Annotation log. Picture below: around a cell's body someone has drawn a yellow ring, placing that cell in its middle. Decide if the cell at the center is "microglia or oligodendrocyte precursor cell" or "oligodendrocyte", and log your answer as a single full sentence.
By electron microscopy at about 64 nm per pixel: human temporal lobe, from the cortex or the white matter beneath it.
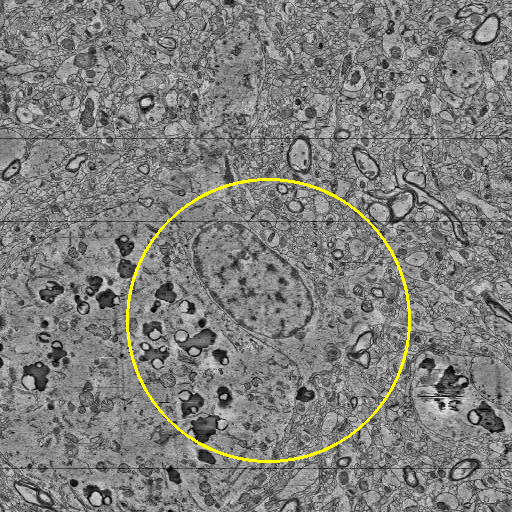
My entry records a microglial cell or oligodendrocyte precursor cell as the cell sitting at the center of the yellow ring.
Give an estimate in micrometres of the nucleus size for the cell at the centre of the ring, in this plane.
The ringed cell's nucleus is roughly 10 by 5 micrometres and clearly longer than it is wide in this plane.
